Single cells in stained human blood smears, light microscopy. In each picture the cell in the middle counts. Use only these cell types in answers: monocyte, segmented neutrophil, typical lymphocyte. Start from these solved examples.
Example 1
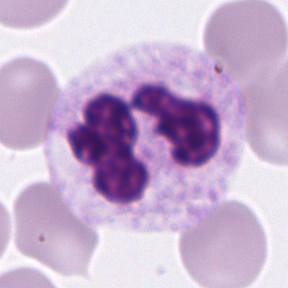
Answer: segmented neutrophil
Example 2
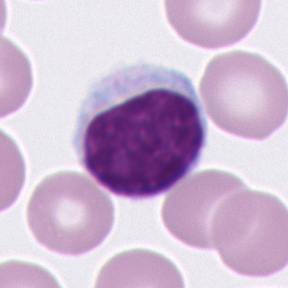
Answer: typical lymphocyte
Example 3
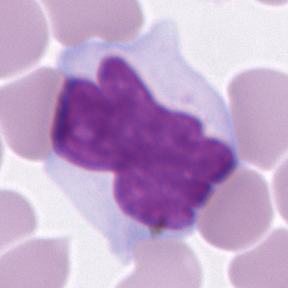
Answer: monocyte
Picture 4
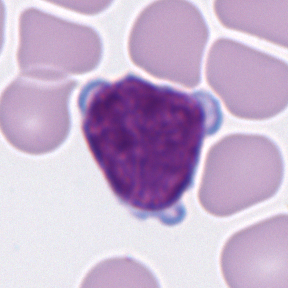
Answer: typical lymphocyte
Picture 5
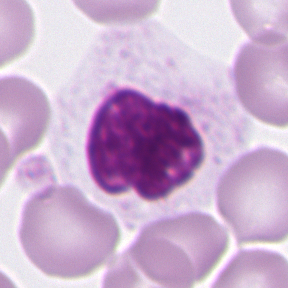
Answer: segmented neutrophil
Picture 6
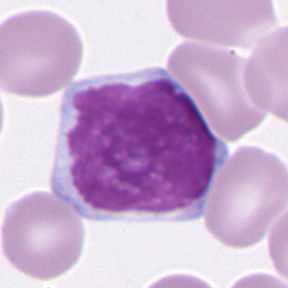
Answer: typical lymphocyte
